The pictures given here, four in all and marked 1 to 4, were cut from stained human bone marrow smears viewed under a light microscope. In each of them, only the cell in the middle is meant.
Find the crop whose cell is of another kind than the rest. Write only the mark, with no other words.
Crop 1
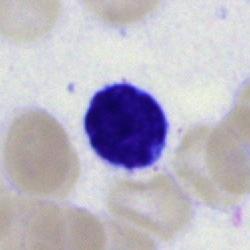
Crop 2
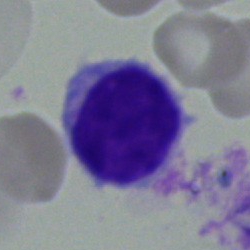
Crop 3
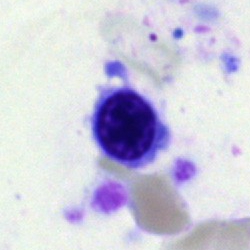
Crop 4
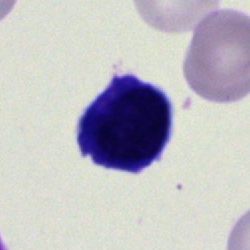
3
